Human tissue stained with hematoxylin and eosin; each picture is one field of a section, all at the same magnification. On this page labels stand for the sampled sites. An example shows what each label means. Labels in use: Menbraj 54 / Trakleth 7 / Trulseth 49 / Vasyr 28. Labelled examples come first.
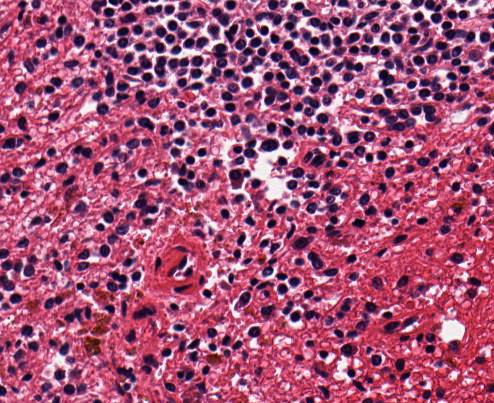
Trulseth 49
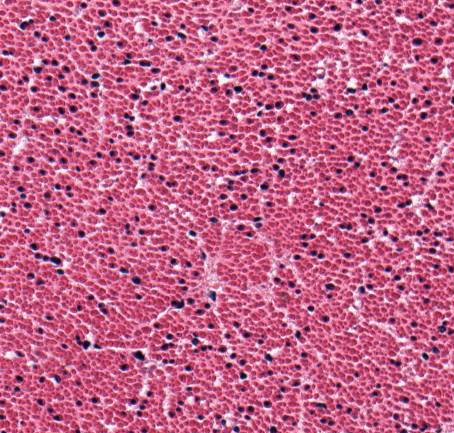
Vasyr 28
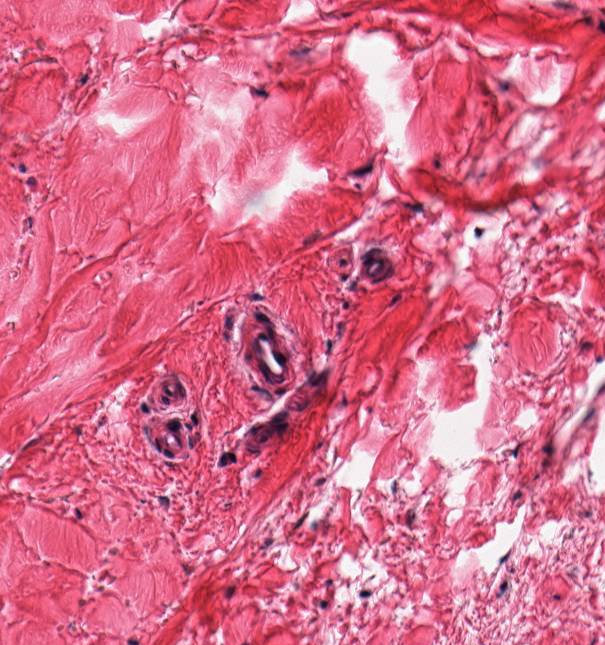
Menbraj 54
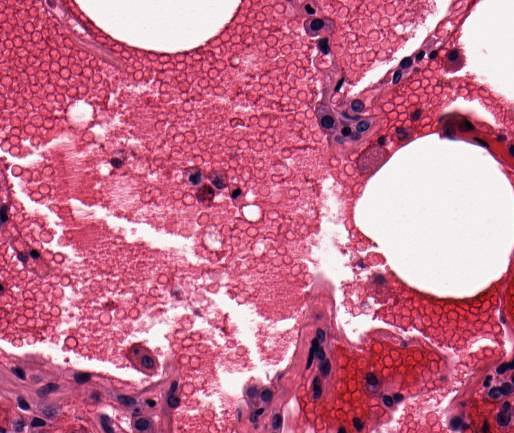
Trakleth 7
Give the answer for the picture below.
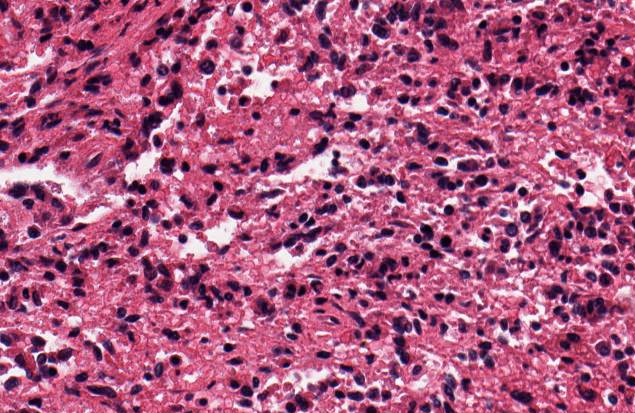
Trulseth 49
